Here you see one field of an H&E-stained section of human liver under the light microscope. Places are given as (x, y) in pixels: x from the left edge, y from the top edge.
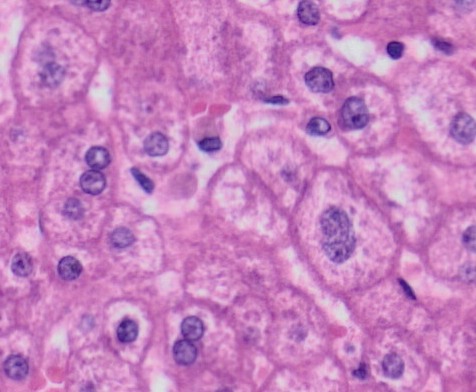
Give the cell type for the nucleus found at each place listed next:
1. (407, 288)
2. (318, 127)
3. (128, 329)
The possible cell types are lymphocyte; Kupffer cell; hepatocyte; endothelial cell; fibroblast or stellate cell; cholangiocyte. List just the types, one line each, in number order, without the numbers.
endothelial cell
Kupffer cell
hepatocyte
